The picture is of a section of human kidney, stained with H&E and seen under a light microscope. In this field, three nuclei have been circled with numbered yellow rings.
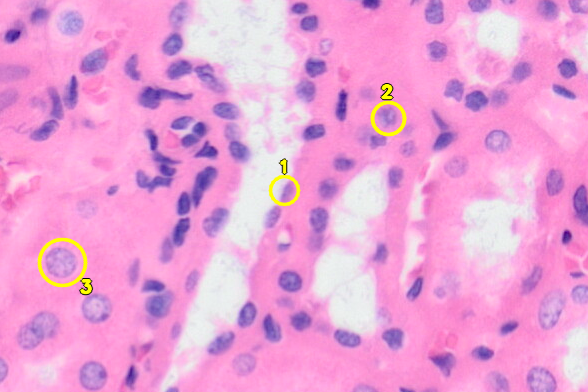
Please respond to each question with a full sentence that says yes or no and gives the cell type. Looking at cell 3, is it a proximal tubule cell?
Yes, so the cell at label 3 is a proximal tubule cell.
